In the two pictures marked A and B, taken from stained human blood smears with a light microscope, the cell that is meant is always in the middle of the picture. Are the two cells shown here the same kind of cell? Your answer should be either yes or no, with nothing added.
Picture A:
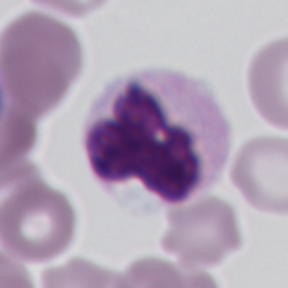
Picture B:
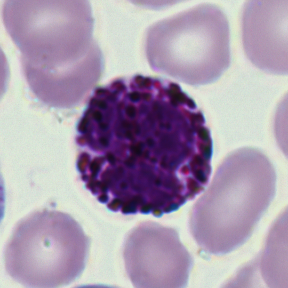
no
